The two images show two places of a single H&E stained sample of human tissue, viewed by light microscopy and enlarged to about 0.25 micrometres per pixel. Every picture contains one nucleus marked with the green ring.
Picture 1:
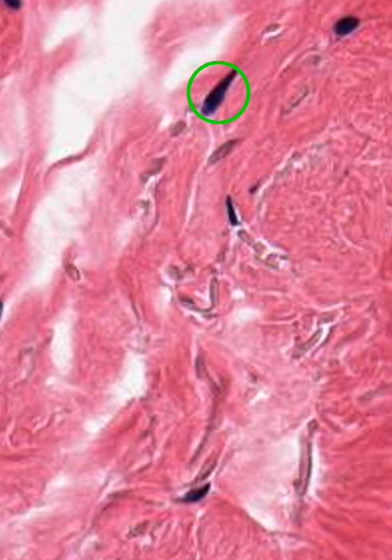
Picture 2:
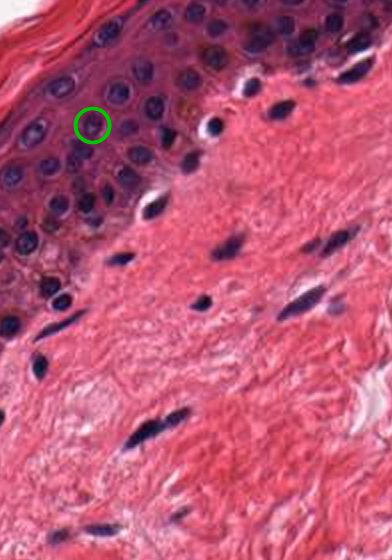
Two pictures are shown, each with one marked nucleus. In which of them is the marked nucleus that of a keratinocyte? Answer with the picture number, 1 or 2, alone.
2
